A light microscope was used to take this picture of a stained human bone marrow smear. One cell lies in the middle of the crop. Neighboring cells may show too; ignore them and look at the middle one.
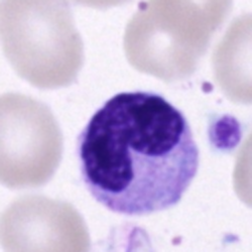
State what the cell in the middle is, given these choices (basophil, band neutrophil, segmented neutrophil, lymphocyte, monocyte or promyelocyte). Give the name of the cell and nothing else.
band neutrophil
